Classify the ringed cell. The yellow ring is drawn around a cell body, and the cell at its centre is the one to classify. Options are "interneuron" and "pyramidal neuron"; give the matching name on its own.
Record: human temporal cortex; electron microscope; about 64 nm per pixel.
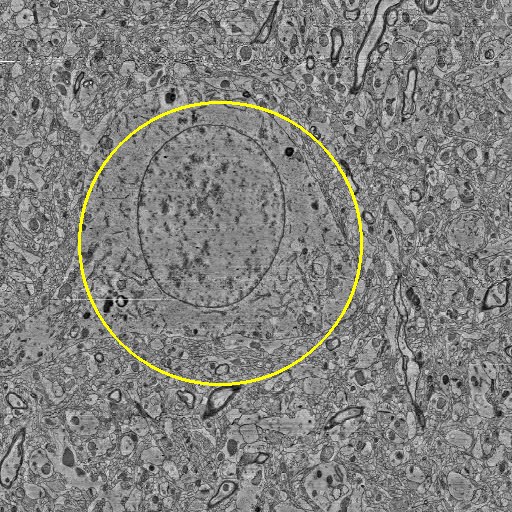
pyramidal neuron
